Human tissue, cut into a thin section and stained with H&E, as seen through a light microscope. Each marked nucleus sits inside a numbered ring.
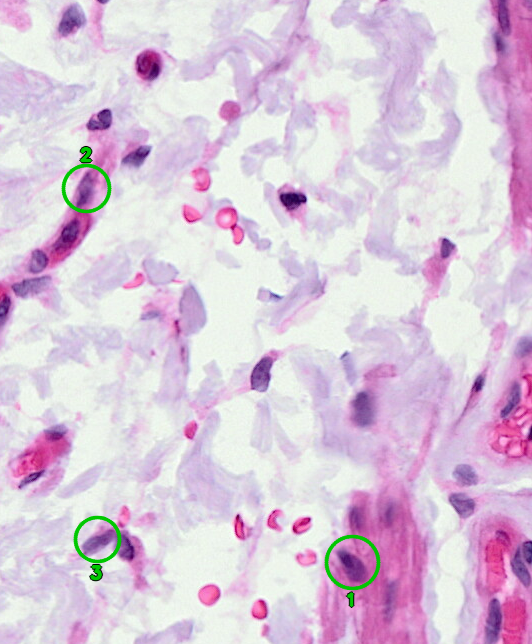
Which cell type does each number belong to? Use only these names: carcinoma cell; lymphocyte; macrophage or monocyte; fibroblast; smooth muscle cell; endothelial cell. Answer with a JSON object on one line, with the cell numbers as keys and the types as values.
{"1": "smooth muscle cell", "2": "endothelial cell", "3": "fibroblast"}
